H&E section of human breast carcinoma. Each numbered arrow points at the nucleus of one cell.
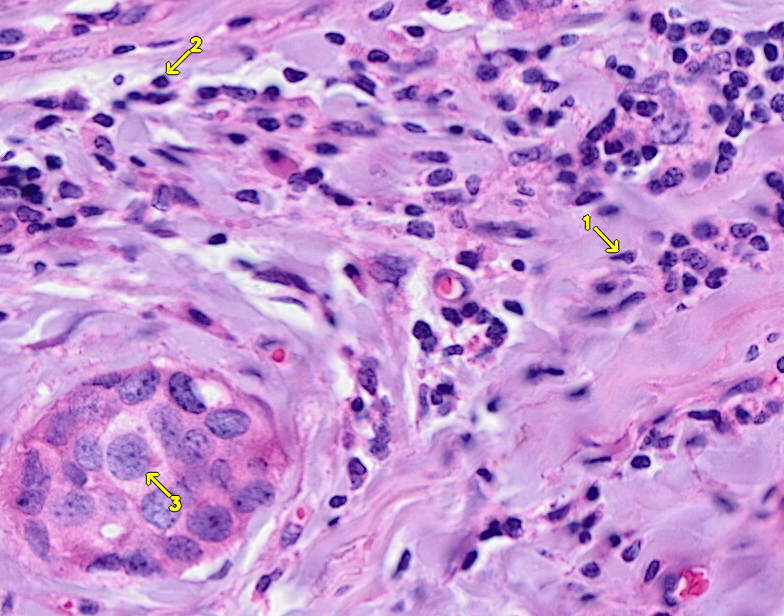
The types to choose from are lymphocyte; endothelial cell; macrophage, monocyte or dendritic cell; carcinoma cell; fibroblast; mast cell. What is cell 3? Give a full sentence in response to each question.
Cell 3 in the field is a carcinoma cell.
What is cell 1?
Cell 1, among those numbered, is a lymphocyte.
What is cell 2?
Cell number 2 in this section is a lymphocyte.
